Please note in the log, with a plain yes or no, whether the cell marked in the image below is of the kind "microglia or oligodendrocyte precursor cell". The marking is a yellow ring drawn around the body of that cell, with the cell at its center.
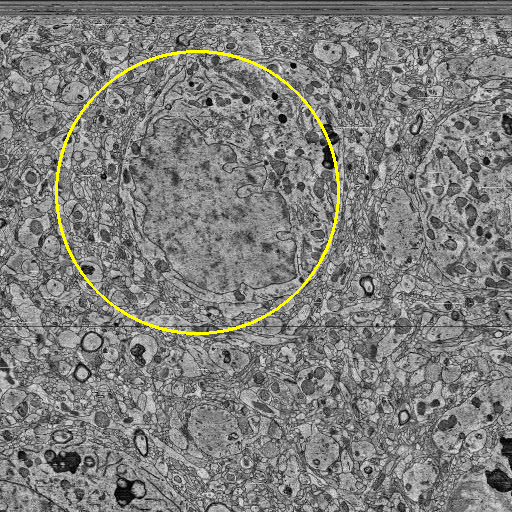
no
